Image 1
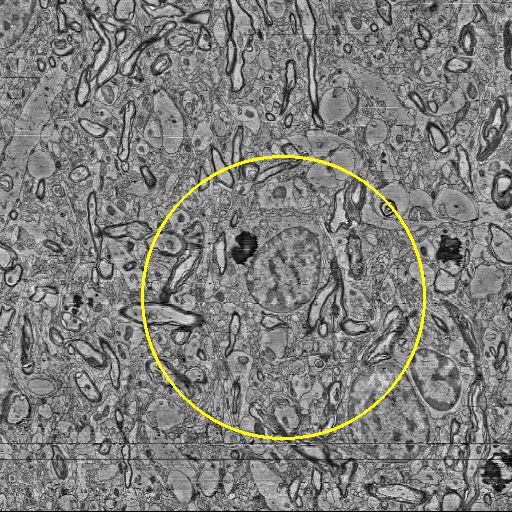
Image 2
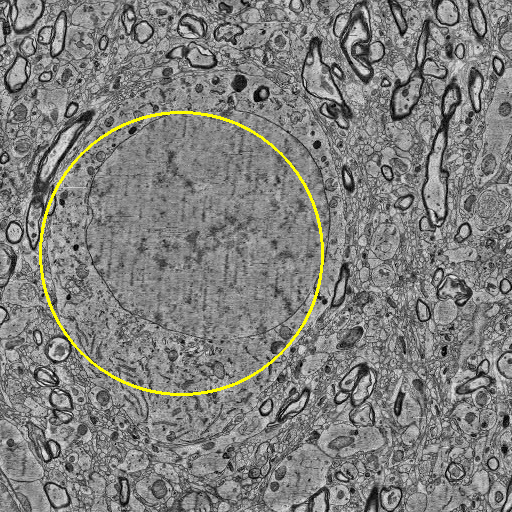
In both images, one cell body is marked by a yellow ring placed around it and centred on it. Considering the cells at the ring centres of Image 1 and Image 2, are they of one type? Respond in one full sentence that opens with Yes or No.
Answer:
No, two types apply to the ring-centred cells of Image 1 and Image 2.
